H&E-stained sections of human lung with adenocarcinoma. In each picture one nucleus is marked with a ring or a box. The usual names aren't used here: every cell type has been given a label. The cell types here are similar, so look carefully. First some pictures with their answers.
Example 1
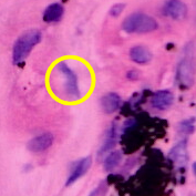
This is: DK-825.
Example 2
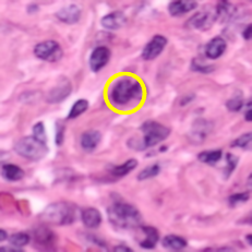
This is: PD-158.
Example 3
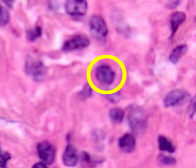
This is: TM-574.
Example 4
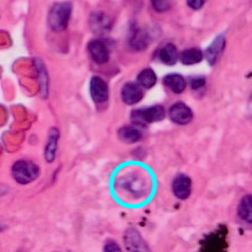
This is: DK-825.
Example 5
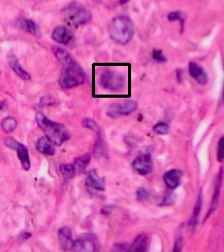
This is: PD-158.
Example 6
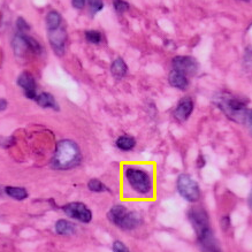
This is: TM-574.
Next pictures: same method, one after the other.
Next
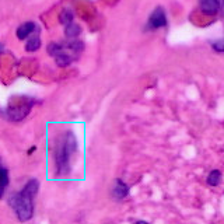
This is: DK-825.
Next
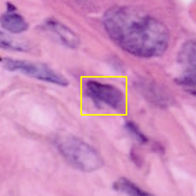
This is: PD-158.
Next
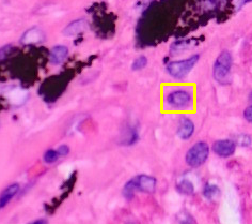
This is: TM-574.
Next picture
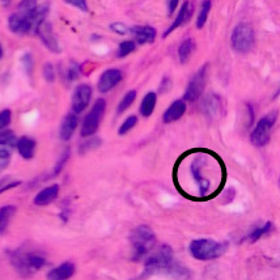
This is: DK-825.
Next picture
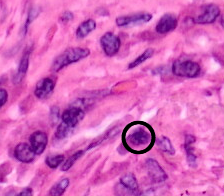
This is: PD-158.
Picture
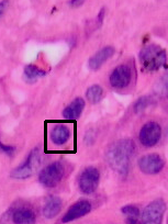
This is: TM-574.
